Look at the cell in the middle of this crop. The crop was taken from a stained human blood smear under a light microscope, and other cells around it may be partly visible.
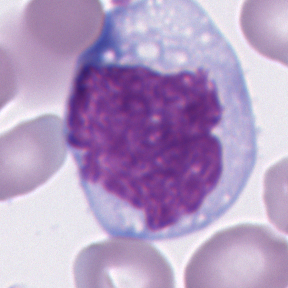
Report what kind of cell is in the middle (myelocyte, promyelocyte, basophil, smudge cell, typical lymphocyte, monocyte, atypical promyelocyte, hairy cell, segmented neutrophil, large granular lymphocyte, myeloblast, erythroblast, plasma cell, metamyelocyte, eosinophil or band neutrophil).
monocyte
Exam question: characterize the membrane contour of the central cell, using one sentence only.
No surface projections are present; the cell outline is smooth.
